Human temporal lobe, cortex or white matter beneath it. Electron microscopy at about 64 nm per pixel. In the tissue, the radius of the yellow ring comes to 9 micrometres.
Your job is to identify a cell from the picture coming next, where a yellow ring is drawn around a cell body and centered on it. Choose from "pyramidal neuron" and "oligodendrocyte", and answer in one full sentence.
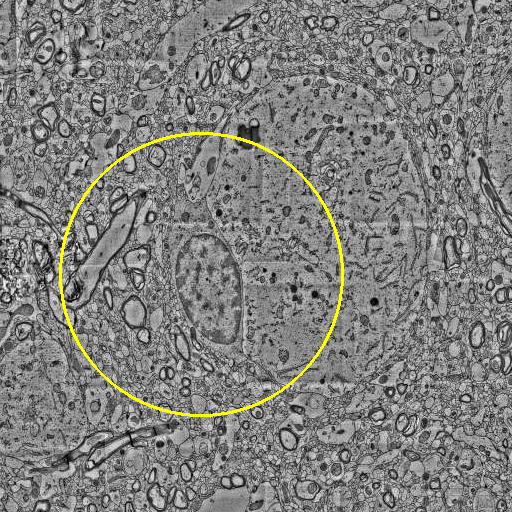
Centered in the yellow ring of the picture is the body of an oligodendrocyte.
